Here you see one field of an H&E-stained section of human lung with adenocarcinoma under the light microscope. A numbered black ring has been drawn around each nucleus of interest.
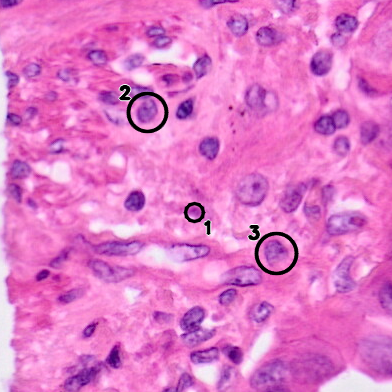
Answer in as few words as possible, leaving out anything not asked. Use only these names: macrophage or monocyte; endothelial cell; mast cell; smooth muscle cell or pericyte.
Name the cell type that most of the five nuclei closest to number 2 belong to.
smooth muscle cell or pericyte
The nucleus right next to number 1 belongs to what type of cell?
endothelial cell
